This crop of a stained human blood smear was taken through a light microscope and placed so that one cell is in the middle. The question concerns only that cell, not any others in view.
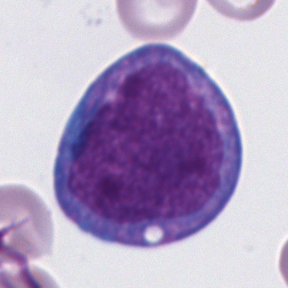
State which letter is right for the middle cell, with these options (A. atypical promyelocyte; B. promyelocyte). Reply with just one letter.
B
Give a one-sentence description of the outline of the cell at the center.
Edge check done: smooth outline, no projections present.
